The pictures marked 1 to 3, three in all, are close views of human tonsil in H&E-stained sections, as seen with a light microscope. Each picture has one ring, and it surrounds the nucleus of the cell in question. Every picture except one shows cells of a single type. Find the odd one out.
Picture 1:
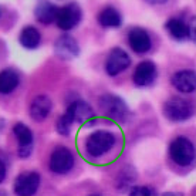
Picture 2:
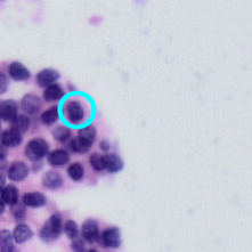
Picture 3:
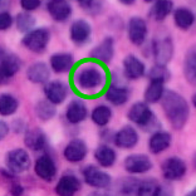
1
